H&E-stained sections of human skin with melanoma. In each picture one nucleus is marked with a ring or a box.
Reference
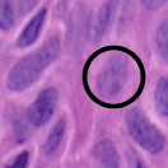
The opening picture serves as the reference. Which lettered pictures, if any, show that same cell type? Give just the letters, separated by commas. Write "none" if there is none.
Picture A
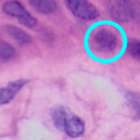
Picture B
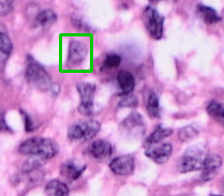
A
